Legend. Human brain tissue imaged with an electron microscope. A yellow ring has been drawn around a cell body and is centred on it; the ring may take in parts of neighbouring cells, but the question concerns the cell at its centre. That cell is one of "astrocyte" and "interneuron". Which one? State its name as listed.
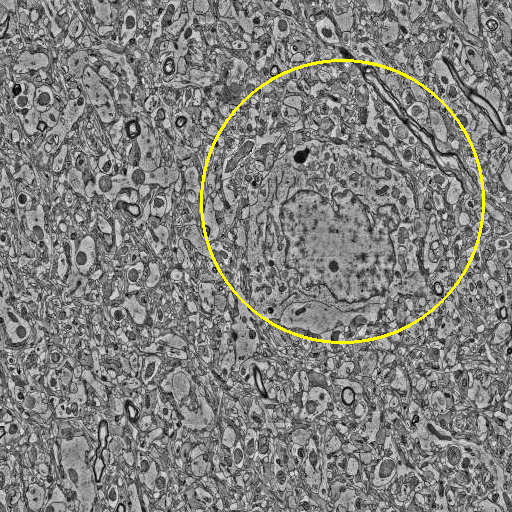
interneuron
